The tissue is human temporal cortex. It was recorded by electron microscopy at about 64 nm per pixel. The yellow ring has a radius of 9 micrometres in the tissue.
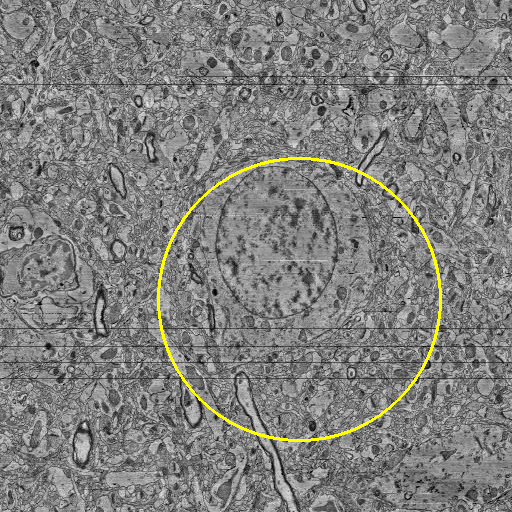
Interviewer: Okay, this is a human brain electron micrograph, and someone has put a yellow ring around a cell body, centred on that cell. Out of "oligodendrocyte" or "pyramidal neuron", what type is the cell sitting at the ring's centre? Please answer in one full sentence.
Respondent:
The cell at the centre of the yellow ring in this picture is a pyramidal neuron.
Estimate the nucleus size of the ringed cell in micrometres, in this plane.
Roughly 10 by 8 micrometres is the size of the nucleus in this plane.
